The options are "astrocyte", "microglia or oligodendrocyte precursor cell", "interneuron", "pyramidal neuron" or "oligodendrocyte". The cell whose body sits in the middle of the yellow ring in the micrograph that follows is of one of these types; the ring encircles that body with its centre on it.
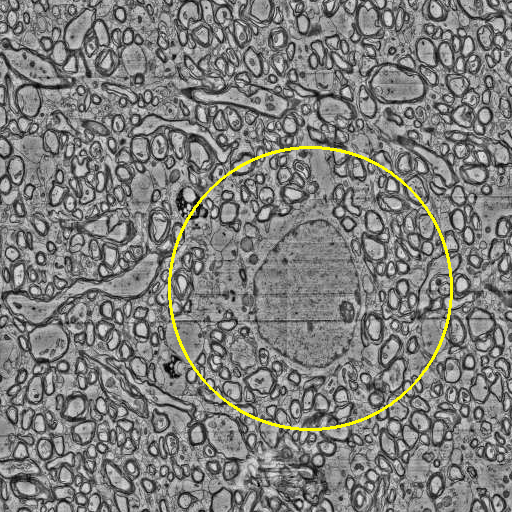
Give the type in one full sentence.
Going by the micrograph, the cell centred in the yellow ring is an astrocyte.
